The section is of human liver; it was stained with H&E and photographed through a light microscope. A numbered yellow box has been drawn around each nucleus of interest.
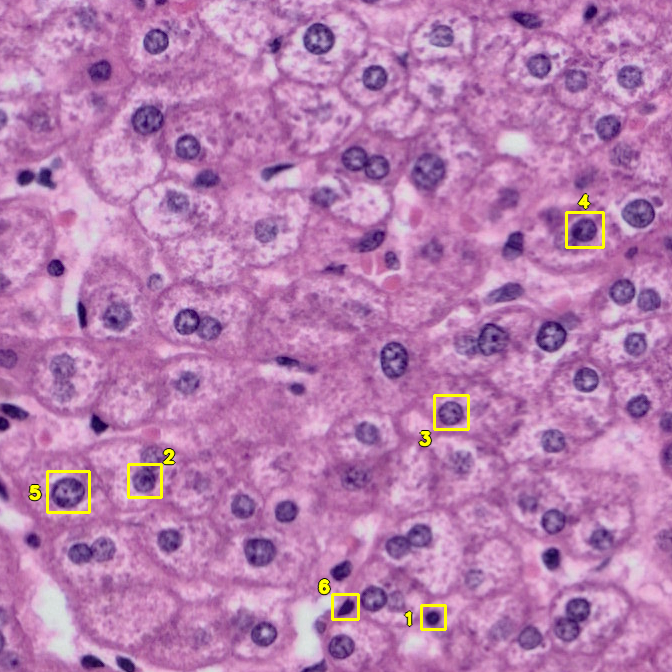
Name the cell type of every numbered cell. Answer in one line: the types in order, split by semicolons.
lymphocyte; hepatocyte; hepatocyte; hepatocyte; hepatocyte; fibroblast or stellate cell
